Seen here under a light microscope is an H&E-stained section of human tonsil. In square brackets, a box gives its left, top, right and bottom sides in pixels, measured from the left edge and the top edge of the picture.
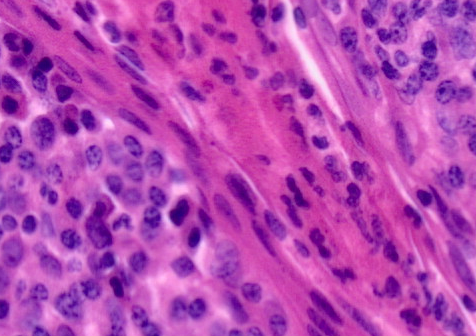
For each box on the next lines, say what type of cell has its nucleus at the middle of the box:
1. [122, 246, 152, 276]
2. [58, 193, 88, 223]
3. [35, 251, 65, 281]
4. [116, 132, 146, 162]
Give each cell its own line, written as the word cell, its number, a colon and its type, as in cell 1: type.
cell 1: plasma cell
cell 2: plasma cell
cell 3: squamous epithelial cell
cell 4: plasma cell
